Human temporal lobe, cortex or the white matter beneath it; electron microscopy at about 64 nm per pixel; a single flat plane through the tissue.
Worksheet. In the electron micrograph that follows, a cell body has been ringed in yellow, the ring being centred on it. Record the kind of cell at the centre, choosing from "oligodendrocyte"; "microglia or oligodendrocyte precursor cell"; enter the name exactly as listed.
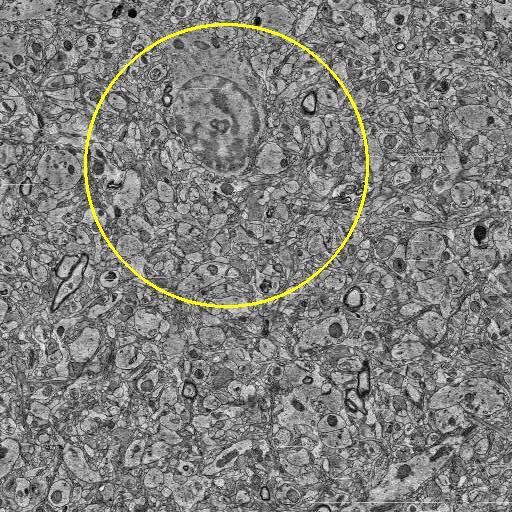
oligodendrocyte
